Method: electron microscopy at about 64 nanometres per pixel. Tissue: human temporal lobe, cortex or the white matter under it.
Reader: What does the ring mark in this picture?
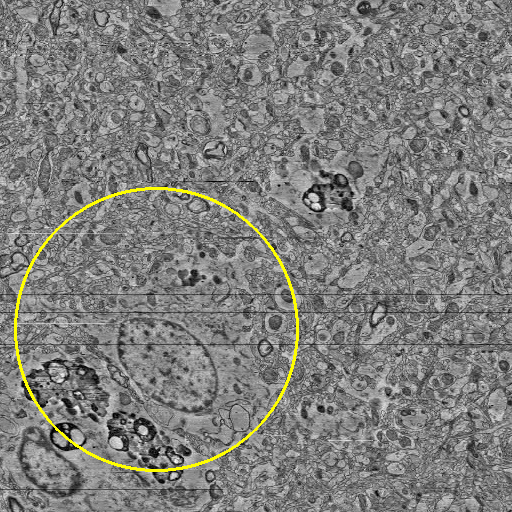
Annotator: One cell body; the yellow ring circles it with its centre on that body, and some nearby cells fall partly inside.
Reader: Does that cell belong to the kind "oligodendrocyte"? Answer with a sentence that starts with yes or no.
No, the cell at the ring's centre in this picture is of another kind.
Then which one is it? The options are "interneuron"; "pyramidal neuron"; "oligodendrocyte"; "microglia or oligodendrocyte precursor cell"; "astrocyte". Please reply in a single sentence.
The cell in the ring is an astrocyte instead.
